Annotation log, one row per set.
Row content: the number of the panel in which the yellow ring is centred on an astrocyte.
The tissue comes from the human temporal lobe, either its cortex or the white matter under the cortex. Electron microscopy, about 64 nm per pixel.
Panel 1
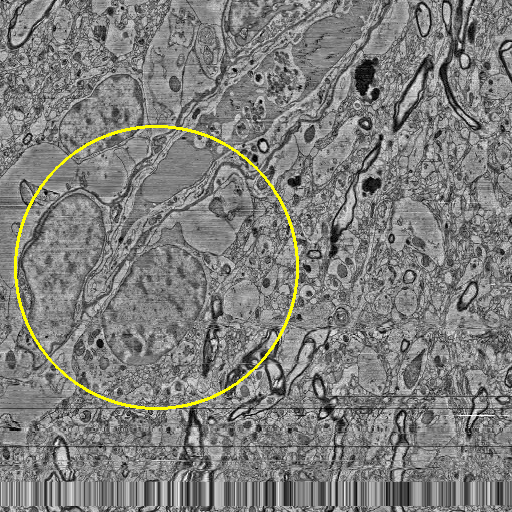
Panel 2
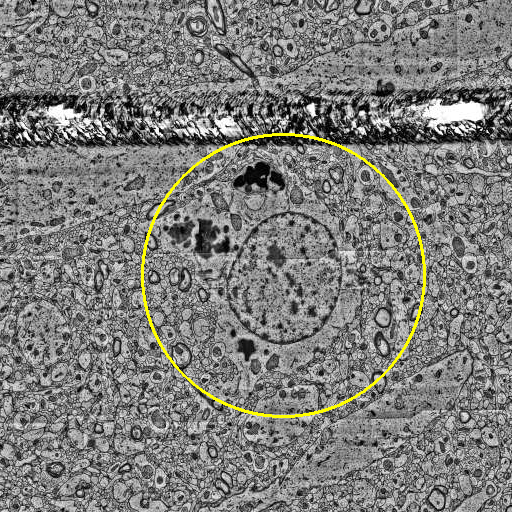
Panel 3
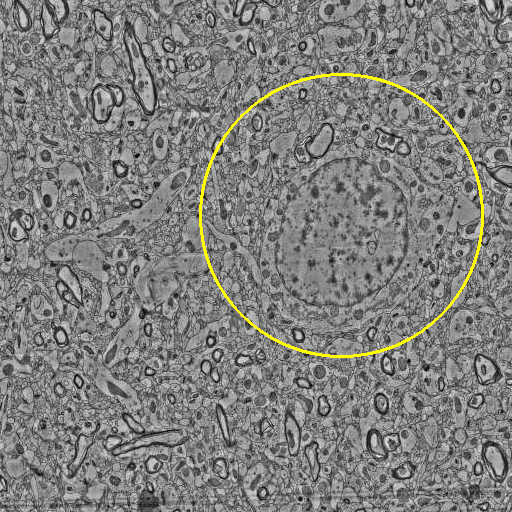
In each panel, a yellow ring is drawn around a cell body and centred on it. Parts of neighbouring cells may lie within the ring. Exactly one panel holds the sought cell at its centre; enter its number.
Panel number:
2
